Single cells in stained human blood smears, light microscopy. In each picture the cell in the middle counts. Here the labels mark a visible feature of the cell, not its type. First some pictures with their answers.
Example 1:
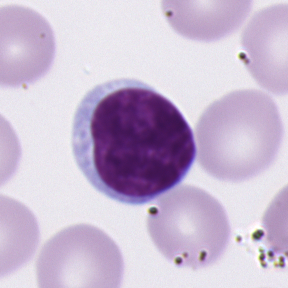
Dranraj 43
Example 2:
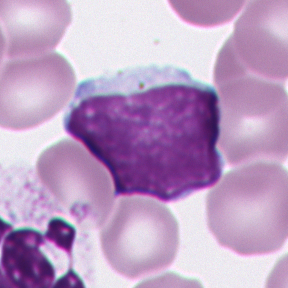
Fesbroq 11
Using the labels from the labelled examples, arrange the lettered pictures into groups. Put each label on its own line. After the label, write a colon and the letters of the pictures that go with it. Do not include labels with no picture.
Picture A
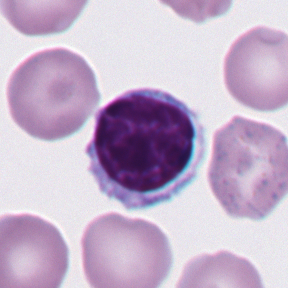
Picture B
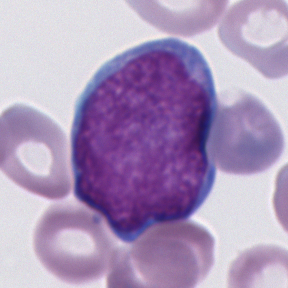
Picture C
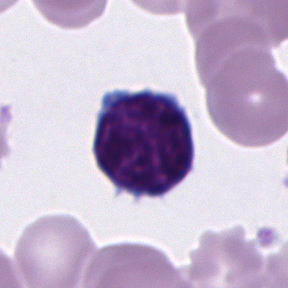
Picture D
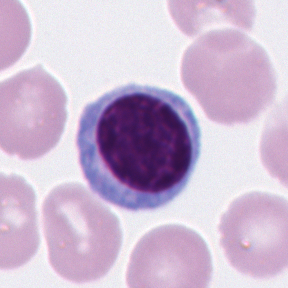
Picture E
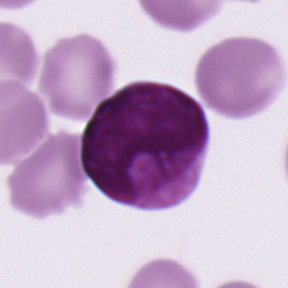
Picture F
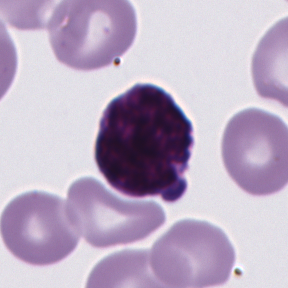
Dranraj 43: B, D, E
Fesbroq 11: A, C, F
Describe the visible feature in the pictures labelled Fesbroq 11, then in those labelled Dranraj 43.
In Fesbroq 11: ragged outline or projections. In Dranraj 43: smooth outline.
